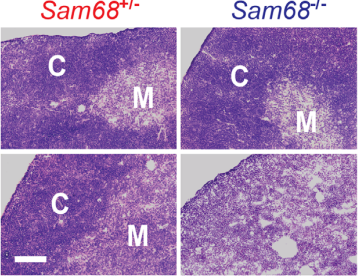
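Four sections of thymus stained with hematoxylin and eosin. In three of them the organ shows its usual layout: a dense, dark purple cortex packed with small round lymphocytes surrounds paler, looser medullary regions where fewer nuclei sit in more pink-staining stroma. In the lower right section this pattern is lost. The tissue is pale and sparsely cellular throughout, with no dark cortical band set apart from a pale medulla. Scattered empty spaces appear, and the overall density of purple nuclei is far lower than in the other three sections.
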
